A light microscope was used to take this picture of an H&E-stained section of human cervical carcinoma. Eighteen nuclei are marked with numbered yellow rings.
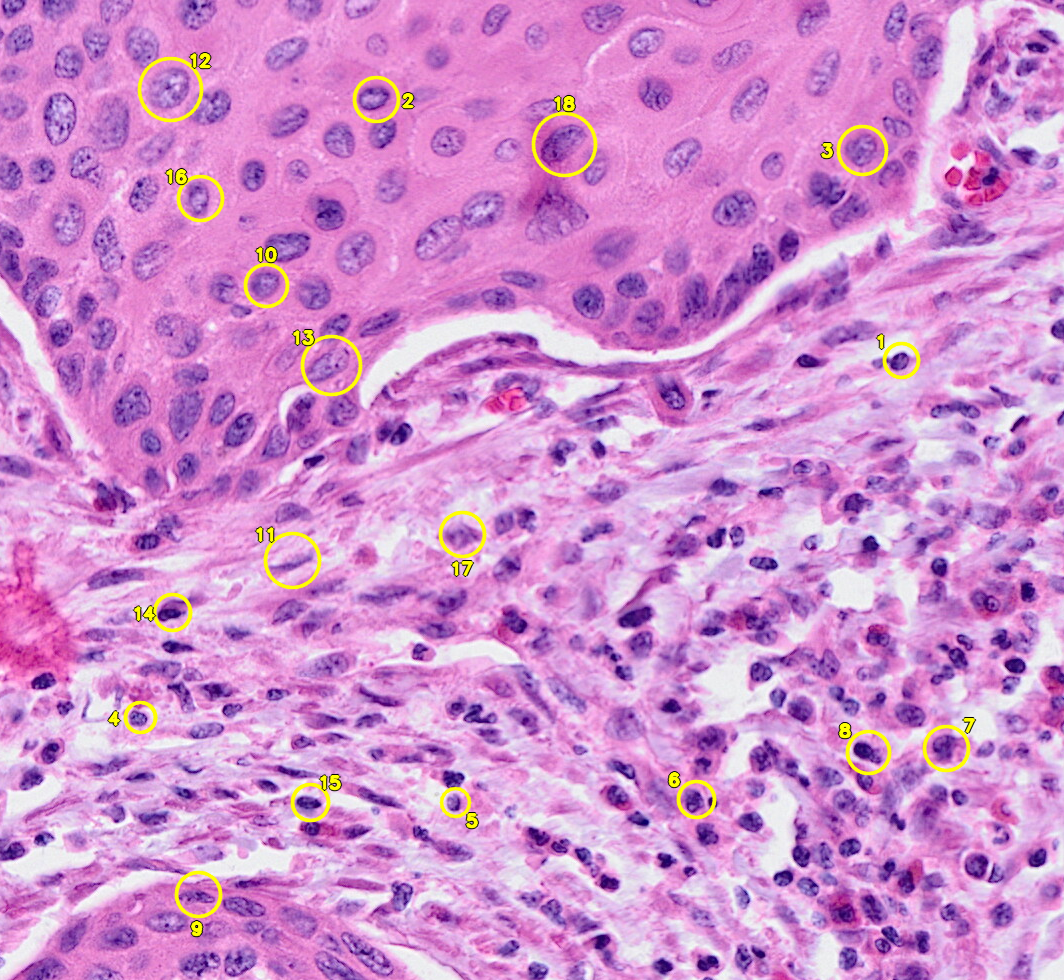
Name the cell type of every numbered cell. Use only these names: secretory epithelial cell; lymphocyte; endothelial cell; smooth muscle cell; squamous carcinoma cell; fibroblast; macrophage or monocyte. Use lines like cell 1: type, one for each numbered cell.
cell 1: lymphocyte
cell 2: squamous carcinoma cell
cell 3: squamous carcinoma cell
cell 4: lymphocyte
cell 5: lymphocyte
cell 6: lymphocyte
cell 7: macrophage or monocyte
cell 8: lymphocyte
cell 9: squamous carcinoma cell
cell 10: squamous carcinoma cell
cell 11: fibroblast
cell 12: squamous carcinoma cell
cell 13: squamous carcinoma cell
cell 14: lymphocyte
cell 15: lymphocyte
cell 16: squamous carcinoma cell
cell 17: fibroblast
cell 18: squamous carcinoma cell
